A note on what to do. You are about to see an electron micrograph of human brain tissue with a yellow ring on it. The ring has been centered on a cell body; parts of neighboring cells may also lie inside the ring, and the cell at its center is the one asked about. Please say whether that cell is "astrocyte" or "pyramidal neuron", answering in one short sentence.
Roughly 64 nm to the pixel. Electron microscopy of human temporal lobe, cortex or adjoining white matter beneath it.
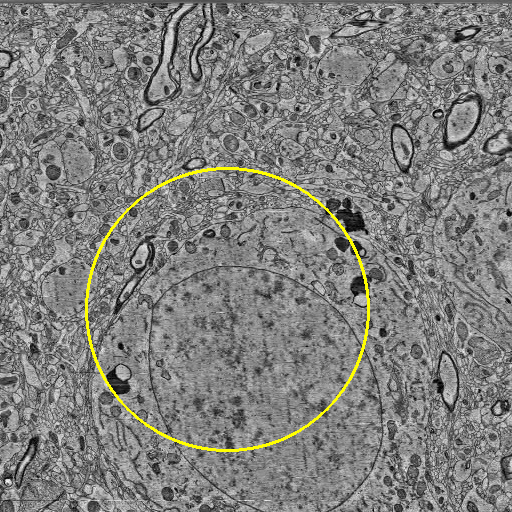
The yellow ring sits on a pyramidal neuron.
